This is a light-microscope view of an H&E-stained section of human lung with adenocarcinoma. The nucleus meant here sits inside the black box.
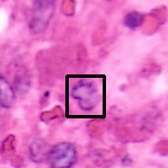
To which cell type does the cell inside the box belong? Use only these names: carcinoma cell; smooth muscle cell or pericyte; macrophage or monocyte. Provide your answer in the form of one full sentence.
Speaking plainly, the cell inside the box is nothing other than a macrophage or monocyte.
